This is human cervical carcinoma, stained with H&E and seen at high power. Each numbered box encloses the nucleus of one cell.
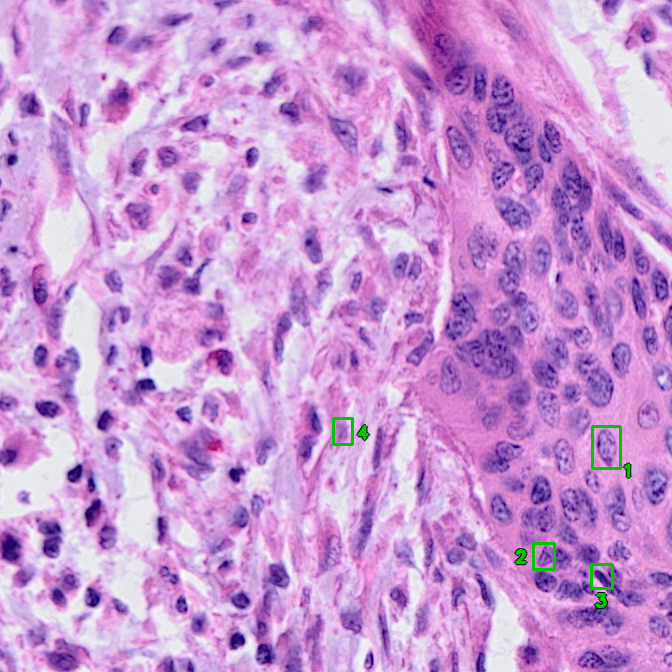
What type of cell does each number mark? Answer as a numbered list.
1. squamous carcinoma cell
2. squamous carcinoma cell
3. squamous carcinoma cell
4. fibroblast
